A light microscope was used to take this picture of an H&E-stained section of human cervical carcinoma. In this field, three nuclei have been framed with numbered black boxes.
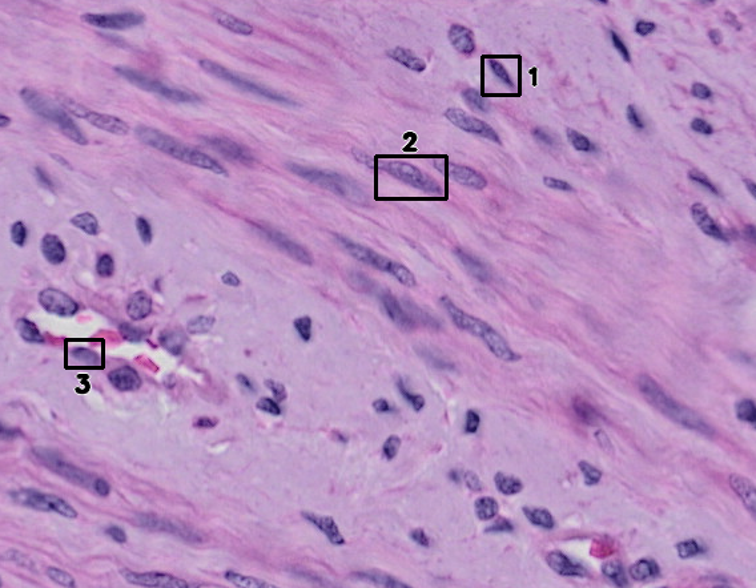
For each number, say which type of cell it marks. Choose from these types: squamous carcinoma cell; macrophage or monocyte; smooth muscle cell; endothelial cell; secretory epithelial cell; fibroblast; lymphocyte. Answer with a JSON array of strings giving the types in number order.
["smooth muscle cell", "smooth muscle cell", "endothelial cell"]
